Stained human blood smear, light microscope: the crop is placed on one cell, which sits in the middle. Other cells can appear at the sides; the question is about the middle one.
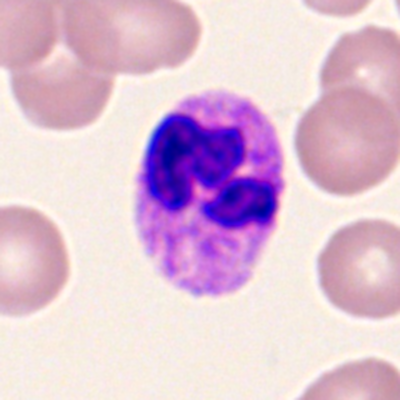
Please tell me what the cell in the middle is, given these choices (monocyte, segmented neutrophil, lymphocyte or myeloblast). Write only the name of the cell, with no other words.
segmented neutrophil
